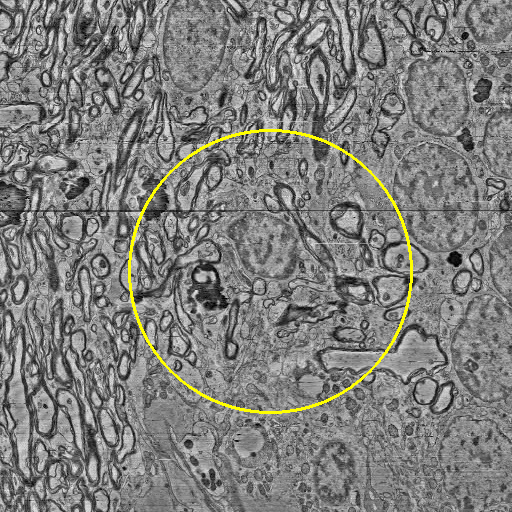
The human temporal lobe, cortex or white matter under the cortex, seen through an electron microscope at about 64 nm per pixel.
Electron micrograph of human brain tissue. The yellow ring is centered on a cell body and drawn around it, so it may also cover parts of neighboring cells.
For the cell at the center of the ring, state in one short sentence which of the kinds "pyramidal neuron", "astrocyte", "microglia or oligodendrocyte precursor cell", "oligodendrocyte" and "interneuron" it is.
This ring is centered on an oligodendrocyte.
